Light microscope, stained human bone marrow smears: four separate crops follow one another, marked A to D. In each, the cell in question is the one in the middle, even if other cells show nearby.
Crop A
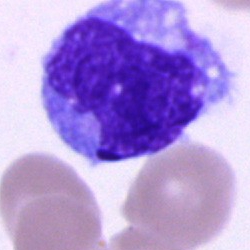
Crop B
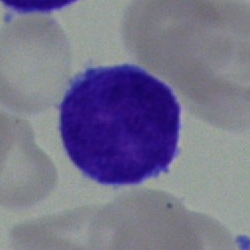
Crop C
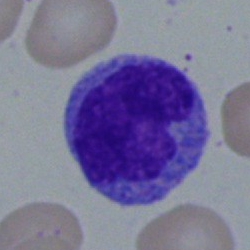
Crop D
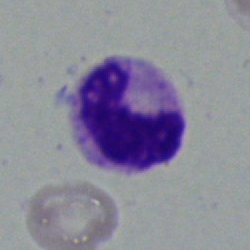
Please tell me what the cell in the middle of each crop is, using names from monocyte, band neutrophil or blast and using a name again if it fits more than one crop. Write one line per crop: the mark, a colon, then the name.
A: monocyte
B: blast
C: monocyte
D: band neutrophil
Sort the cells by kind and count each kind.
monocyte: 2
blast: 1
band neutrophil: 1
